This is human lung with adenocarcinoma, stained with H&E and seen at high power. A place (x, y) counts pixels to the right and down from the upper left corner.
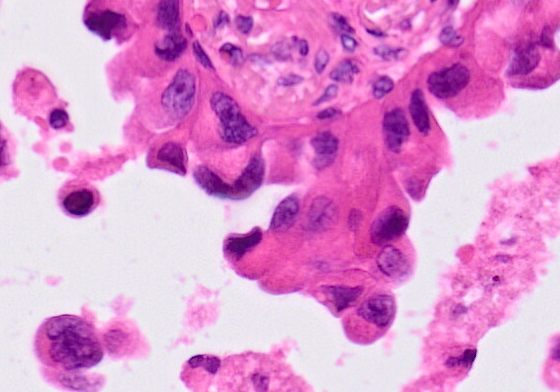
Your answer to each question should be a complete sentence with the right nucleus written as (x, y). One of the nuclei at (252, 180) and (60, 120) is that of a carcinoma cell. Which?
Only the nucleus at (252, 180), of the two, belongs to a carcinoma cell.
